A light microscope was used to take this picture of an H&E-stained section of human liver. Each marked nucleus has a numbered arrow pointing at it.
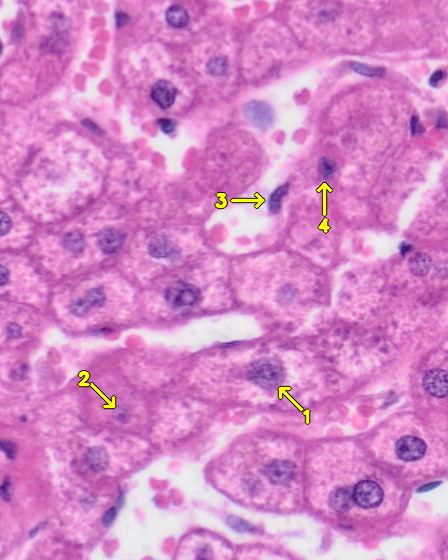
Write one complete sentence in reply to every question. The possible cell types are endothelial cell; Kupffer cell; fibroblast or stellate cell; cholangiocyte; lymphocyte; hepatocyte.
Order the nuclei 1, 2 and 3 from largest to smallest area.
By area, largest first, they run 1, 3, 2.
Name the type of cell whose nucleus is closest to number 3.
It is a fibroblast or stellate cell whose nucleus is nearest to number 3.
